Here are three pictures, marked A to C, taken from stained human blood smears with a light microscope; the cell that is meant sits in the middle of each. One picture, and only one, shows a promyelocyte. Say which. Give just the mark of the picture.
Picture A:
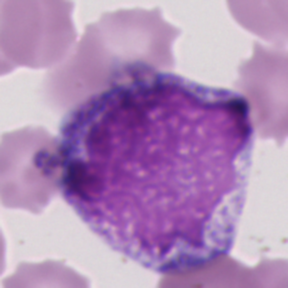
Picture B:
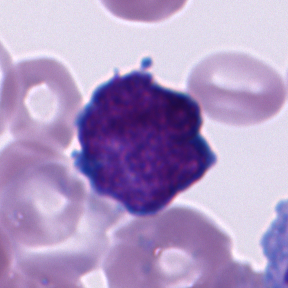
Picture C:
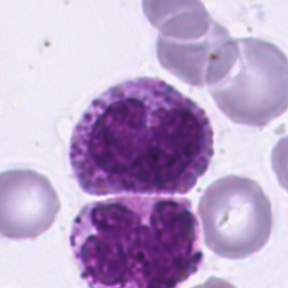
A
